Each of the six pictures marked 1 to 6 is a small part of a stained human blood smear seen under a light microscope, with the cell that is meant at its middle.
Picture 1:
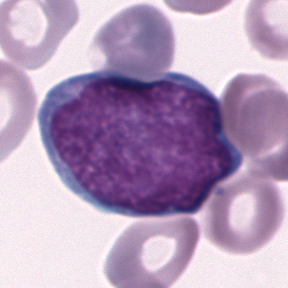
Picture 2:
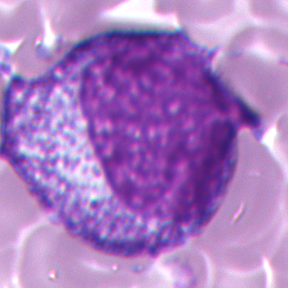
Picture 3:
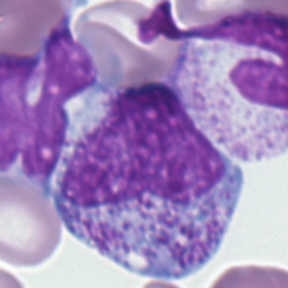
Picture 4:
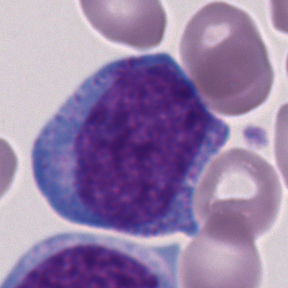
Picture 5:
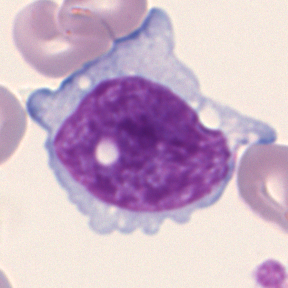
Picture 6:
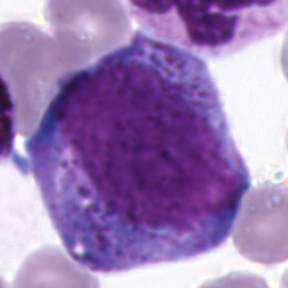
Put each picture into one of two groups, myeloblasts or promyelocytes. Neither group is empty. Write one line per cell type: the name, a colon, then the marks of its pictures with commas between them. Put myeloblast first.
myeloblast: 1, 5
promyelocyte: 2, 3, 4, 6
